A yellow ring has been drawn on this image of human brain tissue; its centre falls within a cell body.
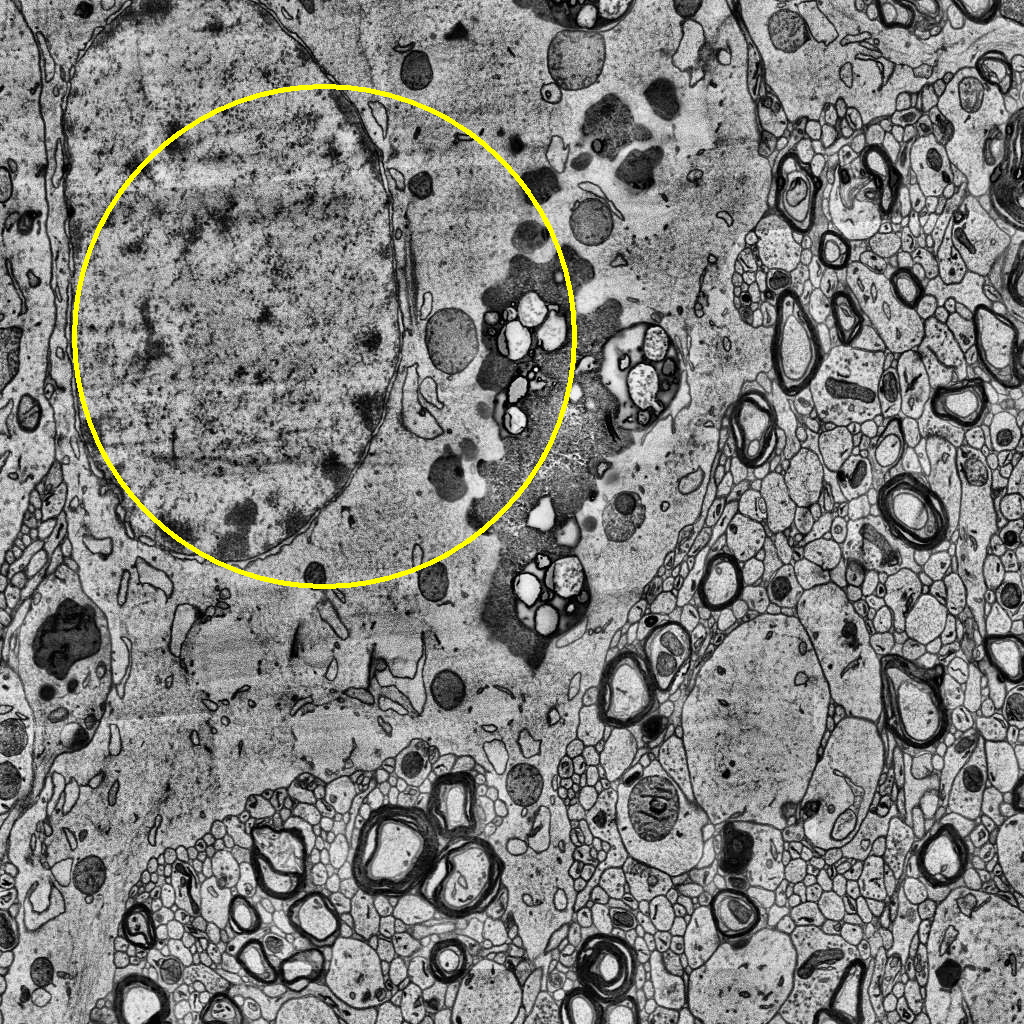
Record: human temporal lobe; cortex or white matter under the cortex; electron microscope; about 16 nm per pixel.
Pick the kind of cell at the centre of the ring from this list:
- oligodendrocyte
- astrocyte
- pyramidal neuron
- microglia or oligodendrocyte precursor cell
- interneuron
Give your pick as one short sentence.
The centre of the ring holds an astrocyte.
